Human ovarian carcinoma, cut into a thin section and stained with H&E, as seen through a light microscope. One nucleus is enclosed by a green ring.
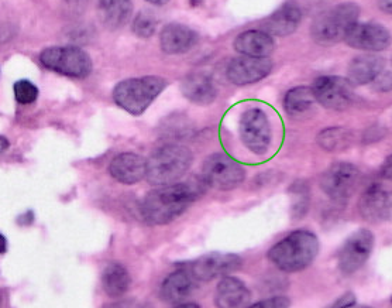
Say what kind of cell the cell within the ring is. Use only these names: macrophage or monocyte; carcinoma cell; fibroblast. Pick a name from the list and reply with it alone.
macrophage or monocyte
